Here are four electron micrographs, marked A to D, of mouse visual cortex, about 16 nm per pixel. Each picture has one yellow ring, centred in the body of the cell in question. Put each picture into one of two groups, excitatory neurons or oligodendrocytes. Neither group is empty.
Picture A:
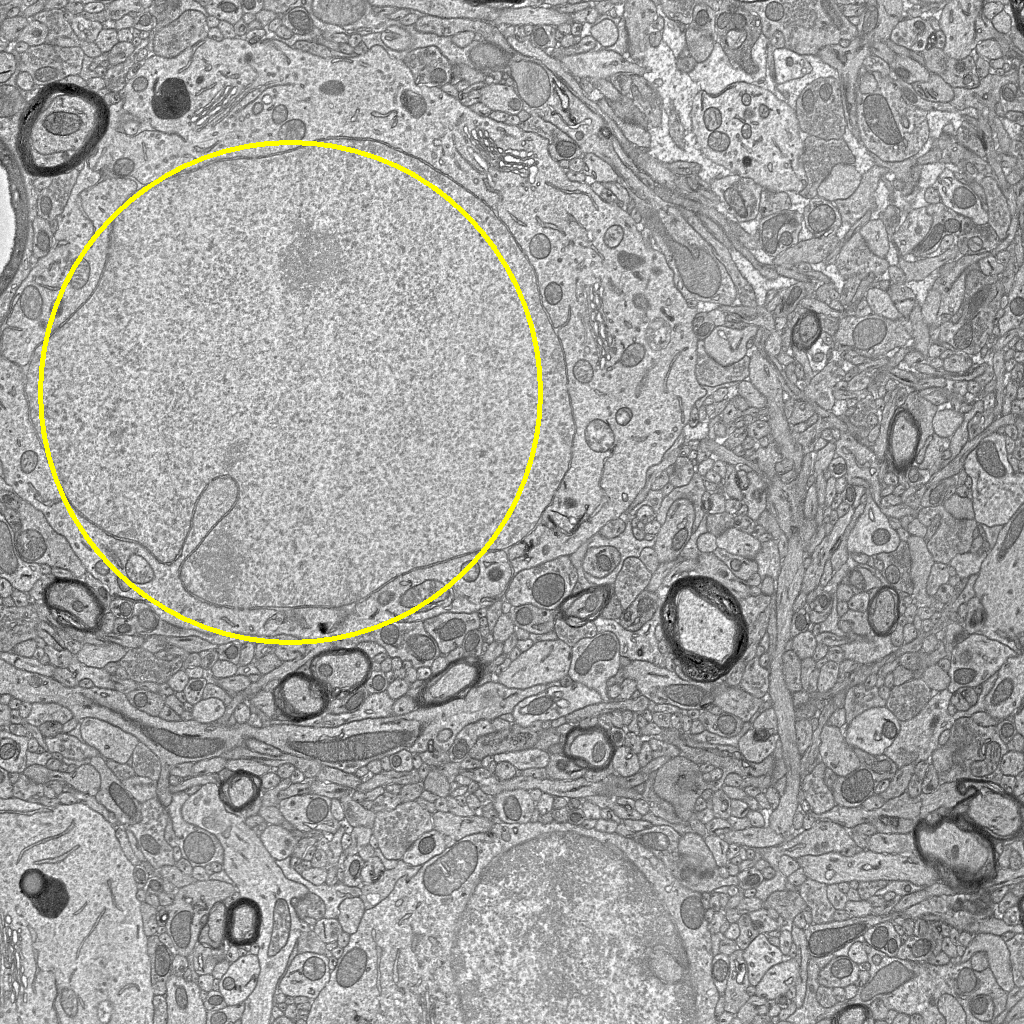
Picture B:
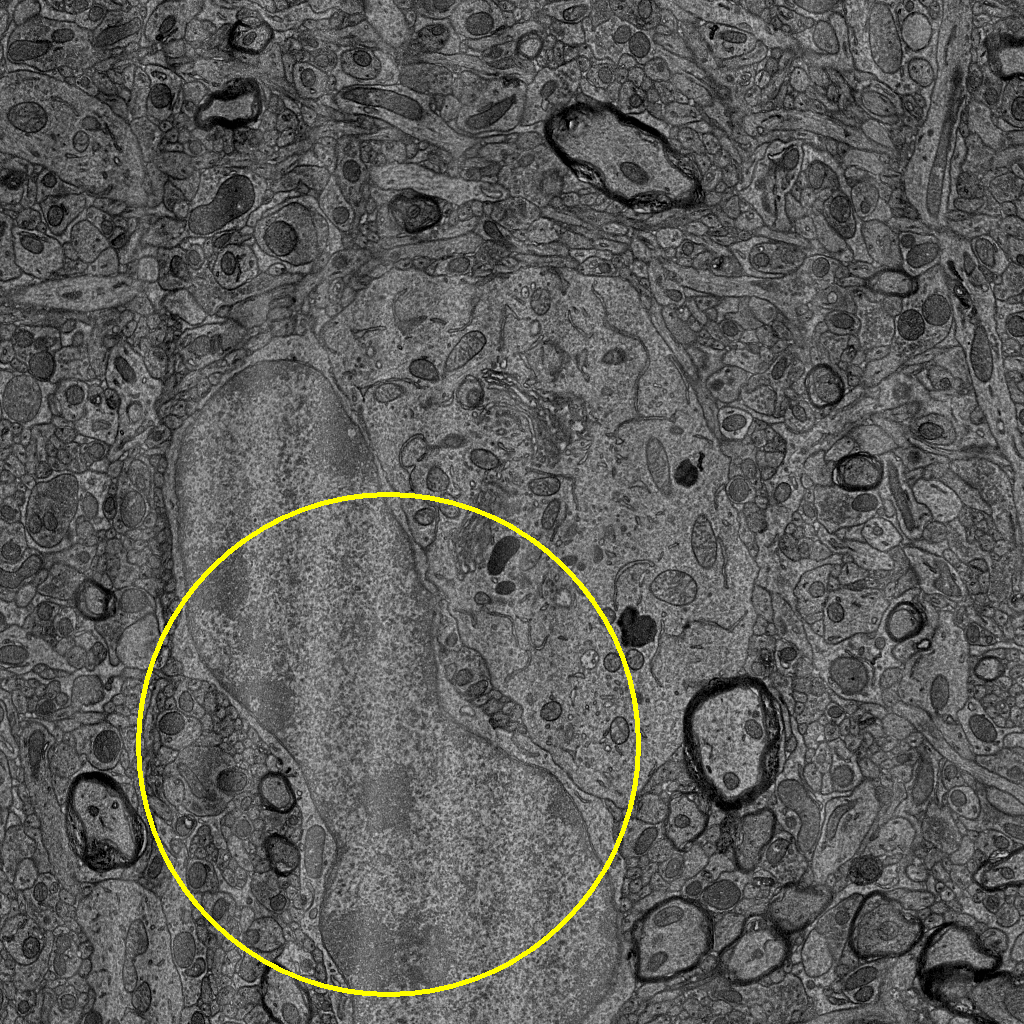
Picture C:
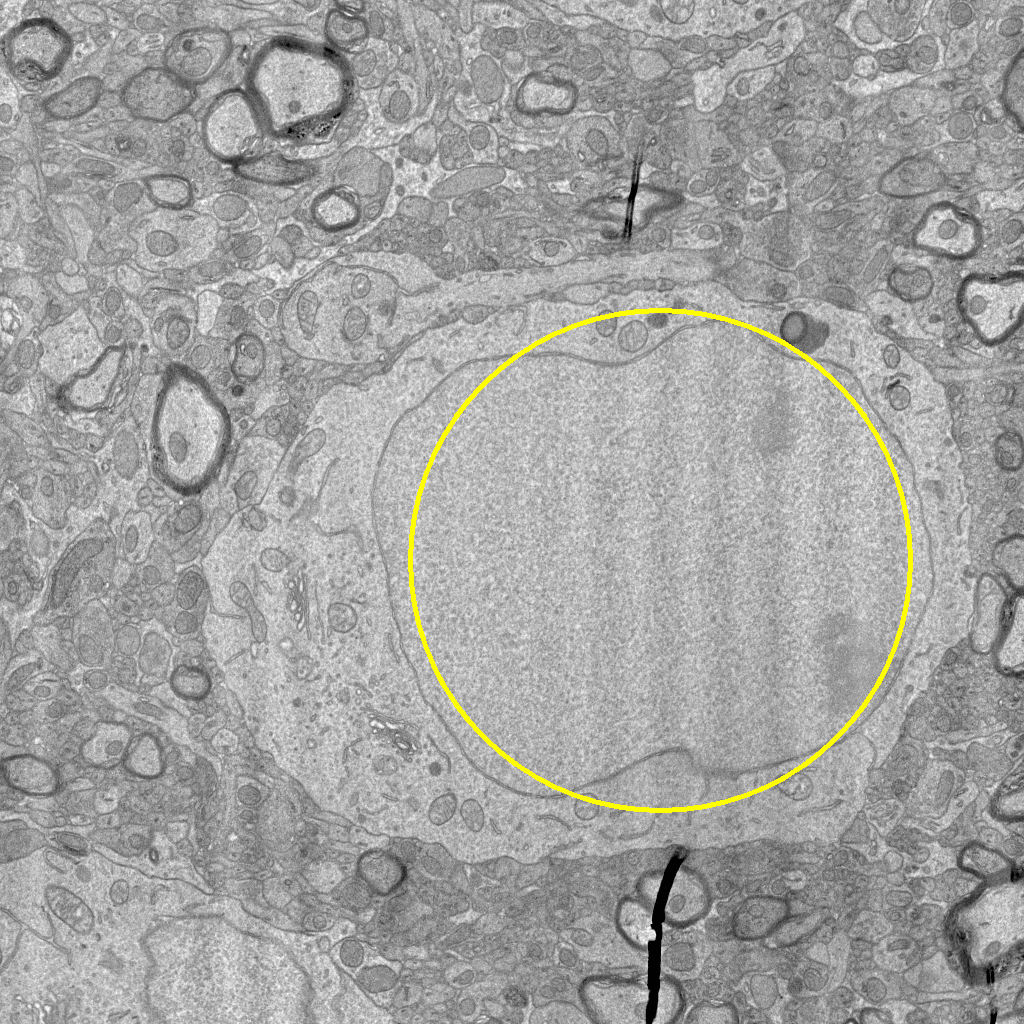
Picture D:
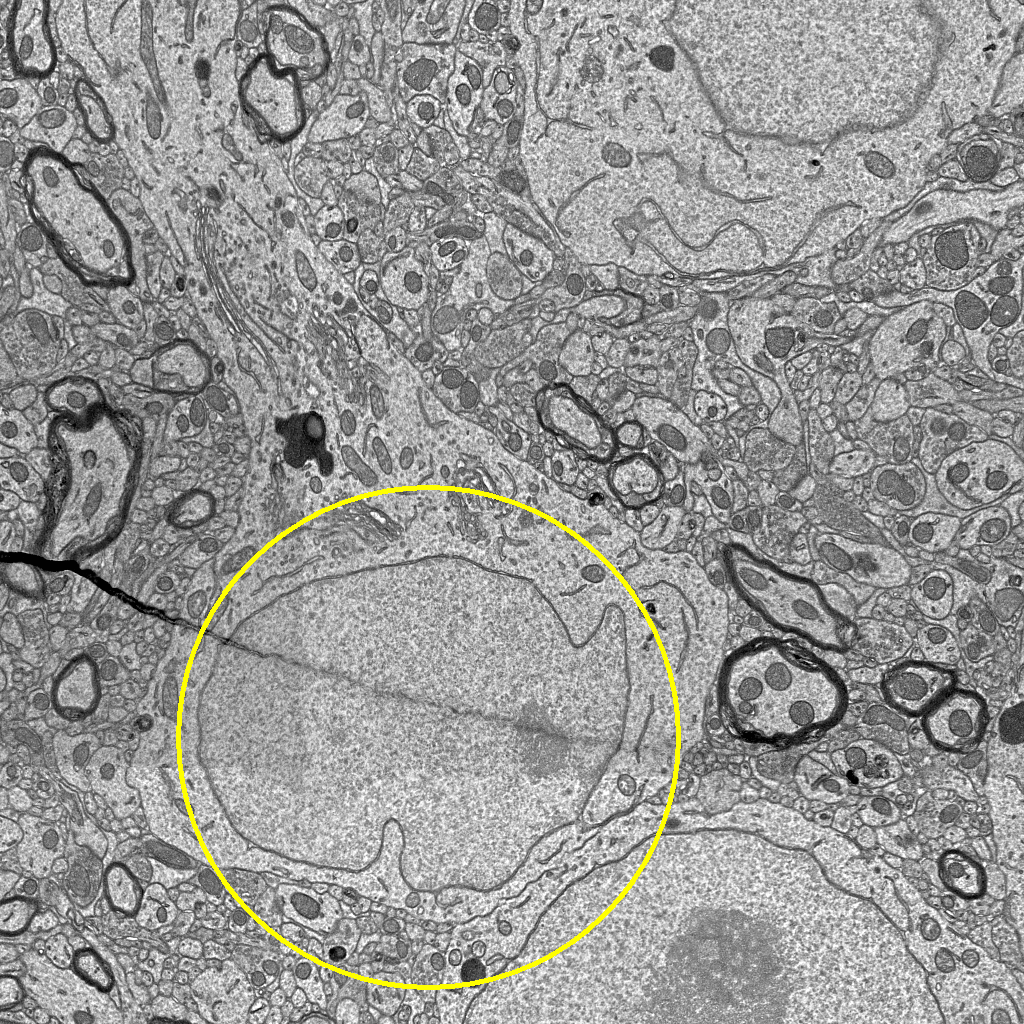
Pictures A, C and D show excitatory neurons, and picture B shows an oligodendrocyte.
